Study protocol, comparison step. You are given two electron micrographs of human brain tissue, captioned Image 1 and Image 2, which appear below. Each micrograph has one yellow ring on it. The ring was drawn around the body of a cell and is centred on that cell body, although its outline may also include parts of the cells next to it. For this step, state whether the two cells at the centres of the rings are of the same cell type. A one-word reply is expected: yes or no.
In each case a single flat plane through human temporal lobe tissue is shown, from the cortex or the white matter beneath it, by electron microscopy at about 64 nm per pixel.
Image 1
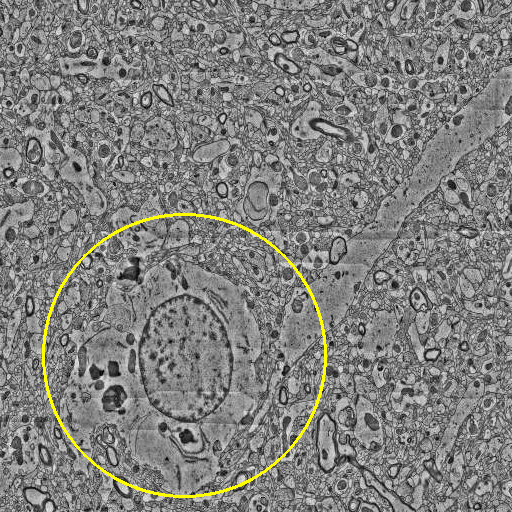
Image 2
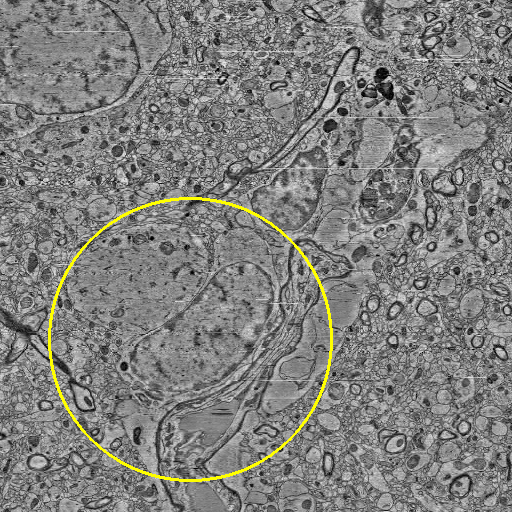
no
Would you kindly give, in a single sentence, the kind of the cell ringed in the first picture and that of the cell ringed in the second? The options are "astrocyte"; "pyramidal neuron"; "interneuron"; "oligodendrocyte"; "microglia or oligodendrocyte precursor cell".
The second cell is a microglial cell or oligodendrocyte precursor cell, and the first cell is an astrocyte.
